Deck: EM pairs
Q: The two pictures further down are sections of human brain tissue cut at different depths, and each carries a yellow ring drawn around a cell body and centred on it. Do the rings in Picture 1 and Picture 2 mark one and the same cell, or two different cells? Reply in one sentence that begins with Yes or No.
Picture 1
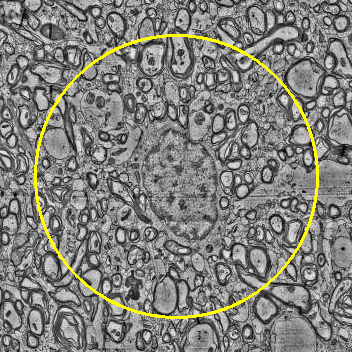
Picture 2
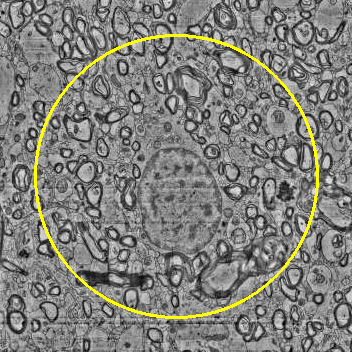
No, the yellow rings mark two separate cells, not one.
